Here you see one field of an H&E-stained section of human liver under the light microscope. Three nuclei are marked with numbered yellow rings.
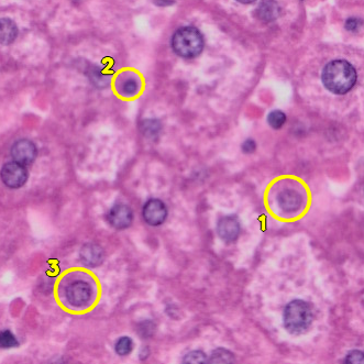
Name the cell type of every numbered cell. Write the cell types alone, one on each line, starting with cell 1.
hepatocyte
lymphocyte
hepatocyte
